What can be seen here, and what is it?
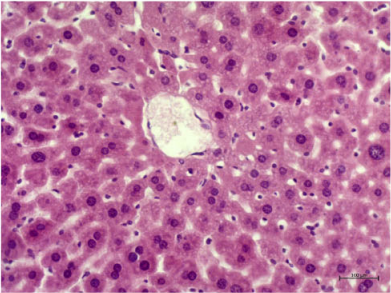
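Liver lobule with hepatocytes arranged in plates radiating from a central vessel. The hepatocytes are polygonal with evenly pink, granular cytoplasm. Their nuclei are round, centrally placed and purple, with visible nucleoli, and some cells appear to have two nuclei. Narrow sinusoidal spaces lie between the plates, with occasional small, dark elongated nuclei along them. No clear vacuoles are seen in the cytoplasm.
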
